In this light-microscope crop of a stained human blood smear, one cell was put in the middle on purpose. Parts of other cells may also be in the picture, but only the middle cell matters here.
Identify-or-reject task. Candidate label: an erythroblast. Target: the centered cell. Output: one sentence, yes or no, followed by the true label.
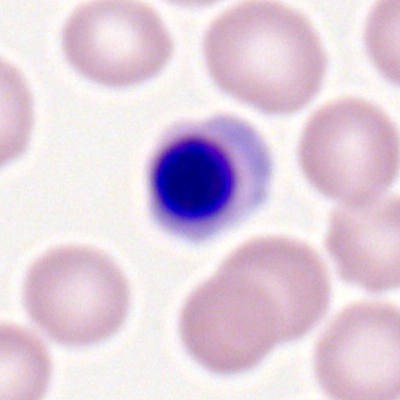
Yes, the cell in the middle is an erythroblast.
